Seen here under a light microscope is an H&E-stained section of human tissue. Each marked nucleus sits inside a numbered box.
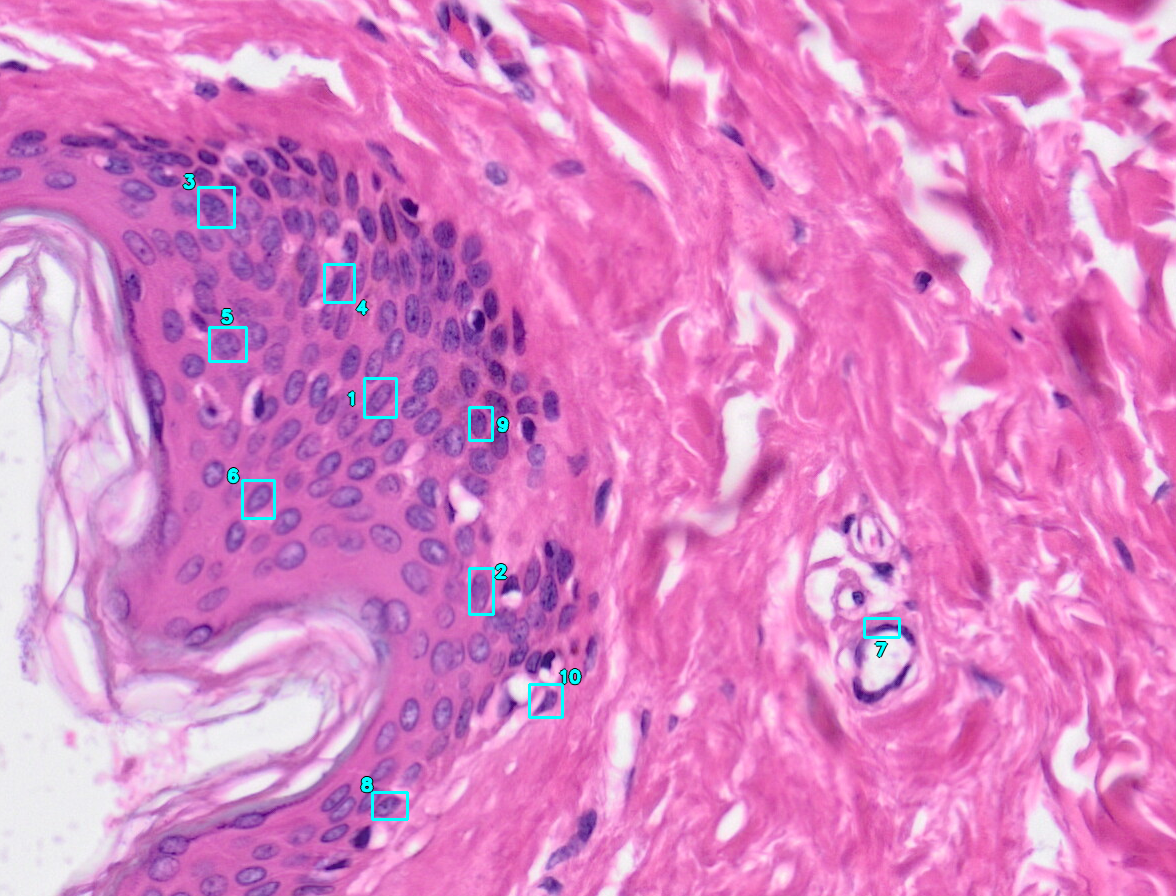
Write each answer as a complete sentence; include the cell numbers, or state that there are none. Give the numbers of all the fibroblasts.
Cell 10 is a fibroblast, while all remaining marked cells are of other types.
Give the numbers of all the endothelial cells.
Among all the marked cells, an endothelial cell is found only at number 7.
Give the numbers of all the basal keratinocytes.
The cells numbered 2, 3, 4, 8 and 9 are typed as basal keratinocytes.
